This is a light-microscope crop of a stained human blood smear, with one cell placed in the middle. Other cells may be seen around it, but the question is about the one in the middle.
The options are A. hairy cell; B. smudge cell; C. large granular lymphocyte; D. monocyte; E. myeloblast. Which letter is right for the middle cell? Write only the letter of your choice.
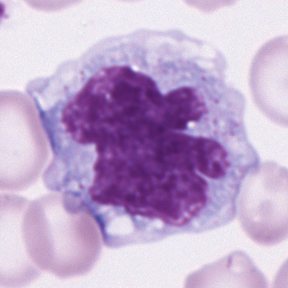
D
